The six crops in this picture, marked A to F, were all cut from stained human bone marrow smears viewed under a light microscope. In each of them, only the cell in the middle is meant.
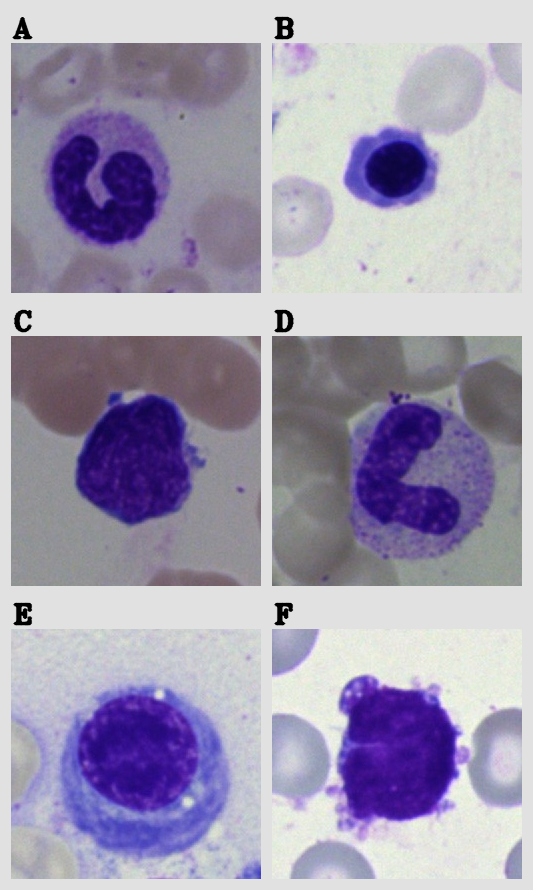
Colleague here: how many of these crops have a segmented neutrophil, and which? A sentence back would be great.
Crop A is the one that shows a segmented neutrophil.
